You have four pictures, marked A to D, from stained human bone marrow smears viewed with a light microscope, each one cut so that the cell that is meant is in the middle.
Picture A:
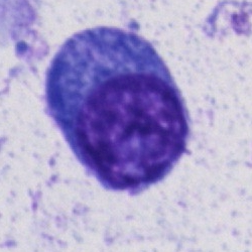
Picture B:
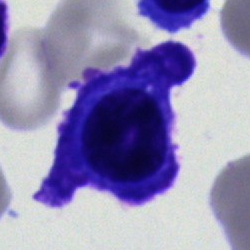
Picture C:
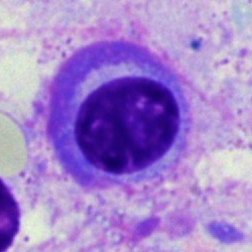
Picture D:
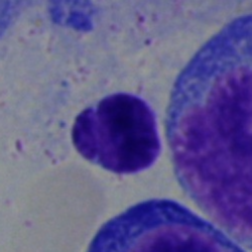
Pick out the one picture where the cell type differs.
D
